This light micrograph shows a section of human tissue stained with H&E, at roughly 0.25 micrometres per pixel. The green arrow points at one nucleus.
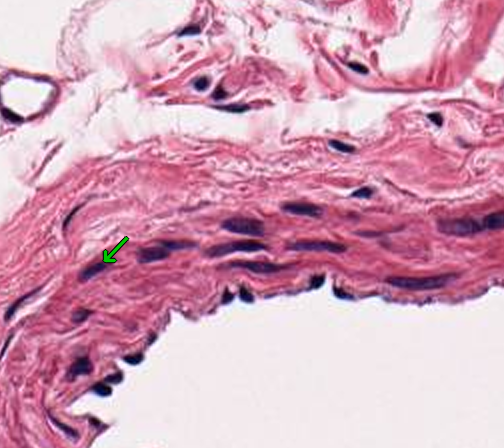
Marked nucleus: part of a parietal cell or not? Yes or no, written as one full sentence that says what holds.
No, in the image shown, the marked nucleus is not from a parietal cell.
